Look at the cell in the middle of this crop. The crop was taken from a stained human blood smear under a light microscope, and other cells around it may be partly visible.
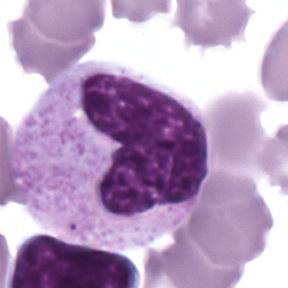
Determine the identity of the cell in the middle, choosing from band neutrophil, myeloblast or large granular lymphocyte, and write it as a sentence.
On this slide crop, the central cell is a band neutrophil.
